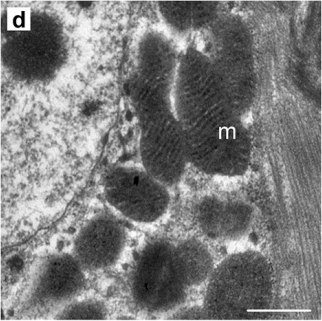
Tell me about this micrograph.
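Rounded to oval mitochondria lie in a group in pale, finely granular cytoplasm. They have a dark, dense interior in which fine banded cristae can be made out in several of them. Along the right edge runs a bundle of fine, parallel fibres.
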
